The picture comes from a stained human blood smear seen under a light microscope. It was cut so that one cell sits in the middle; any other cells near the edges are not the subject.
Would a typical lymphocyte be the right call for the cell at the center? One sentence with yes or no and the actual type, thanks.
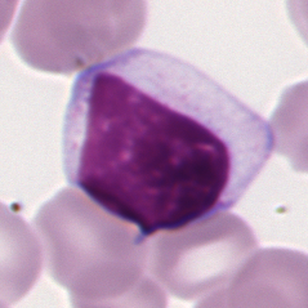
No, not a typical lymphocyte: the cell in the middle of this crop is a large granular lymphocyte.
